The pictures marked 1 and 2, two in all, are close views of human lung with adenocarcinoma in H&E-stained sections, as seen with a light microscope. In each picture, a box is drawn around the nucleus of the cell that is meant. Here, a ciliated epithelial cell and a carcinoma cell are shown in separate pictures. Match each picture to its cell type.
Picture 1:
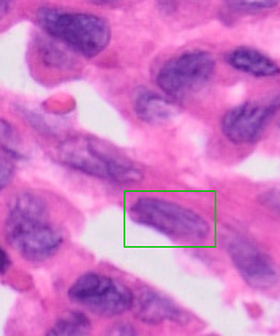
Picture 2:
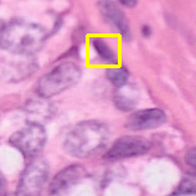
1: carcinoma cell
2: ciliated epithelial cell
